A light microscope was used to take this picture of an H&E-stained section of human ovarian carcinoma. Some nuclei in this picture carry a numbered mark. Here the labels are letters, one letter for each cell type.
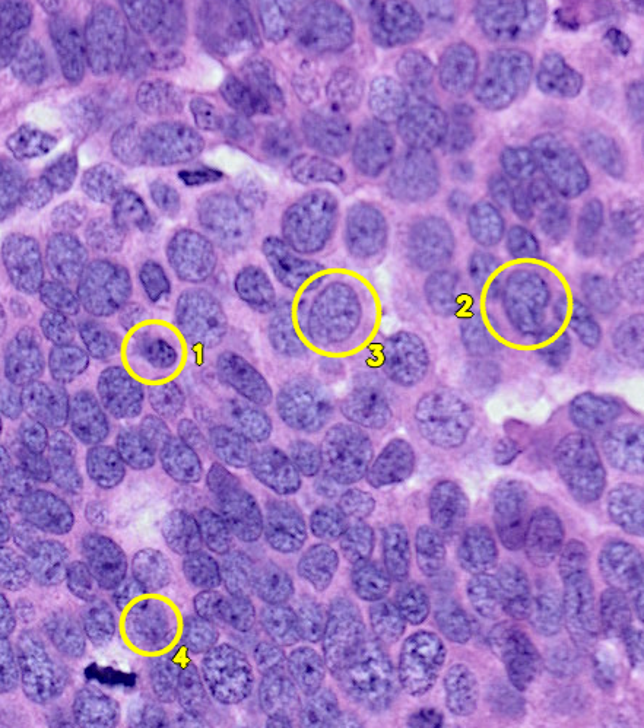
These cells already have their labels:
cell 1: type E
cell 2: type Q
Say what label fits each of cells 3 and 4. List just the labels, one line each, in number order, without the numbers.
type Q
type Q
